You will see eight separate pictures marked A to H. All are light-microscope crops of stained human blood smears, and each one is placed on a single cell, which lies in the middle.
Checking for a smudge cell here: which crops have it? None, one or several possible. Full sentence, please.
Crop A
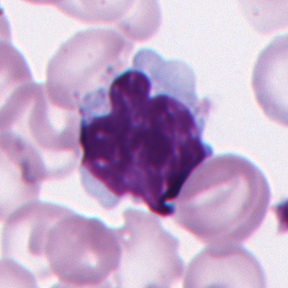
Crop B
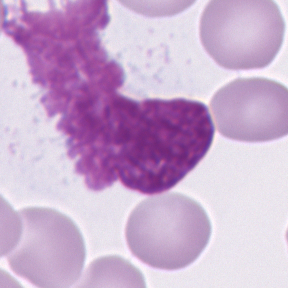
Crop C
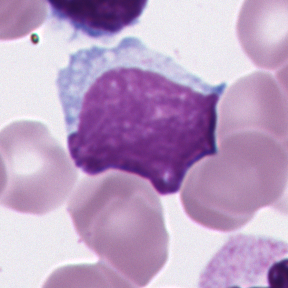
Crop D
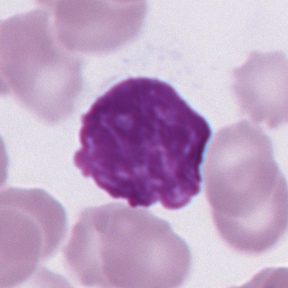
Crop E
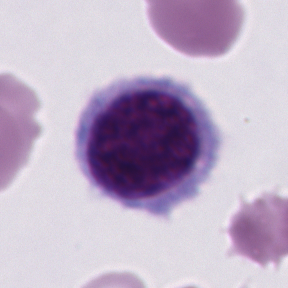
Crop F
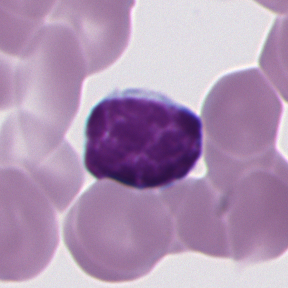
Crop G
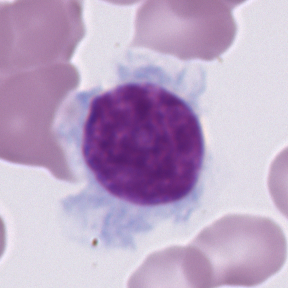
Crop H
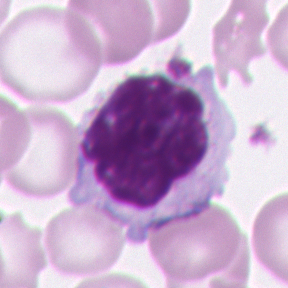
Crops B and D display smudge cells in the centre of the field.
